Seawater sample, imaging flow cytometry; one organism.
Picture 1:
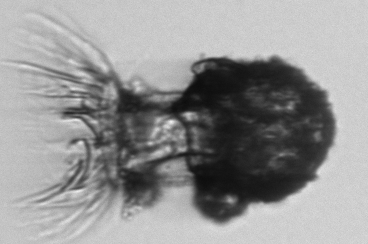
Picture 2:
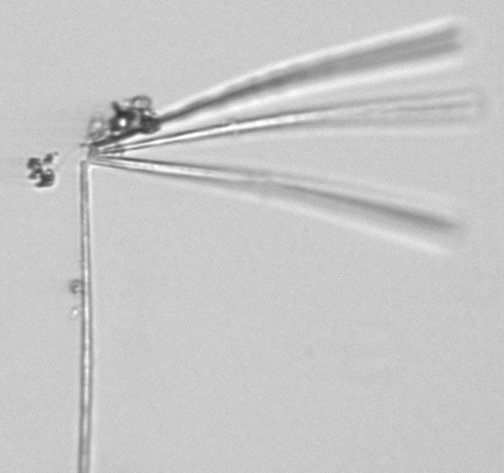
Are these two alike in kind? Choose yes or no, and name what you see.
No. First a tintinnid, second Thalassionema.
